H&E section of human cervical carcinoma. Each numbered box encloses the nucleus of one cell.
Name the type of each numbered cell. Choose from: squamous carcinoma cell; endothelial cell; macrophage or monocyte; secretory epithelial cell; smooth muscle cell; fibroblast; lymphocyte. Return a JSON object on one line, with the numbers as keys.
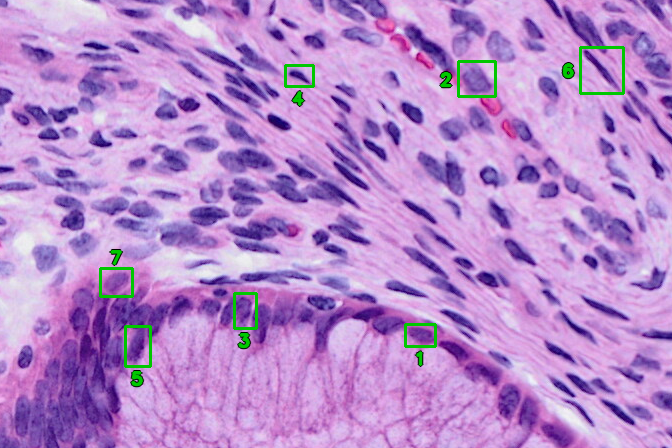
{"1": "secretory epithelial cell", "2": "endothelial cell", "3": "secretory epithelial cell", "4": "fibroblast", "5": "secretory epithelial cell", "6": "fibroblast", "7": "secretory epithelial cell"}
